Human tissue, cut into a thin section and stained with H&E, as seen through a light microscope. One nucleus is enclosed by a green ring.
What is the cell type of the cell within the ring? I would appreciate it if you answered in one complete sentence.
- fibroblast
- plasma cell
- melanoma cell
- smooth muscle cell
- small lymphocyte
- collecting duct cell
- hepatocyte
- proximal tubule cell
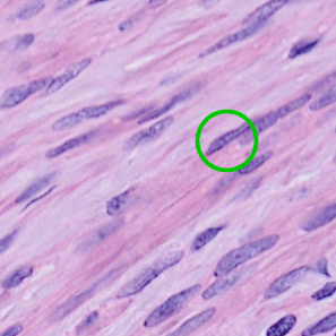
By its classification, the cell within the ring is a smooth muscle cell.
